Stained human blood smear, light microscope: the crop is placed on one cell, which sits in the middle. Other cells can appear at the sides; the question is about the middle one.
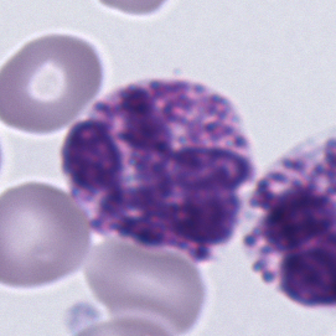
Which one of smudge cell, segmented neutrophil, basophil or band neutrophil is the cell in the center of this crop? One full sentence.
Here the centrally located cell is a basophil.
